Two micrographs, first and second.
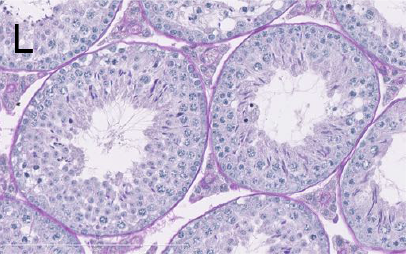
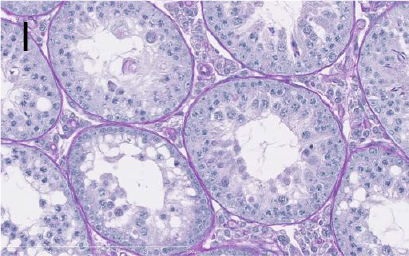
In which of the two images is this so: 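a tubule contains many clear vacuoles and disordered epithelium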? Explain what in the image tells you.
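Second image: one tubule at lower left has many clear round spaces and sparse, loosely arranged cells. So: the second image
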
